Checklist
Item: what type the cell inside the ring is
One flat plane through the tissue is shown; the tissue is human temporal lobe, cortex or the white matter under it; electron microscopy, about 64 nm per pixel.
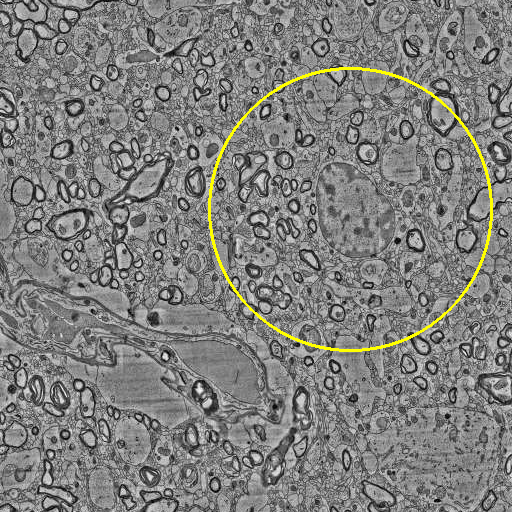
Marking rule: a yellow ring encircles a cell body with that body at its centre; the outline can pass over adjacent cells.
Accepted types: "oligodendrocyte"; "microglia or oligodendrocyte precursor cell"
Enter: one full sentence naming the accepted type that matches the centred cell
The entry is that a microglial cell or oligodendrocyte precursor cell lies at the centre of the yellow ring.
